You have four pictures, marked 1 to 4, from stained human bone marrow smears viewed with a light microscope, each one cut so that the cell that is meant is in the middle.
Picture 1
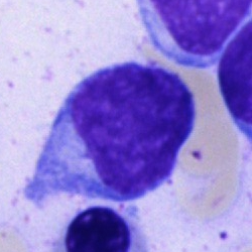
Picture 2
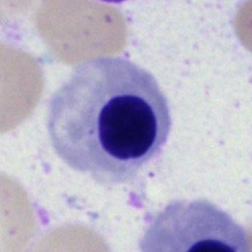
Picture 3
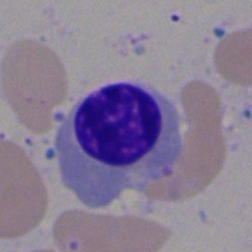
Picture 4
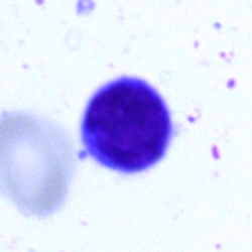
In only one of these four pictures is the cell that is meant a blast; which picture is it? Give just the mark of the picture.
1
